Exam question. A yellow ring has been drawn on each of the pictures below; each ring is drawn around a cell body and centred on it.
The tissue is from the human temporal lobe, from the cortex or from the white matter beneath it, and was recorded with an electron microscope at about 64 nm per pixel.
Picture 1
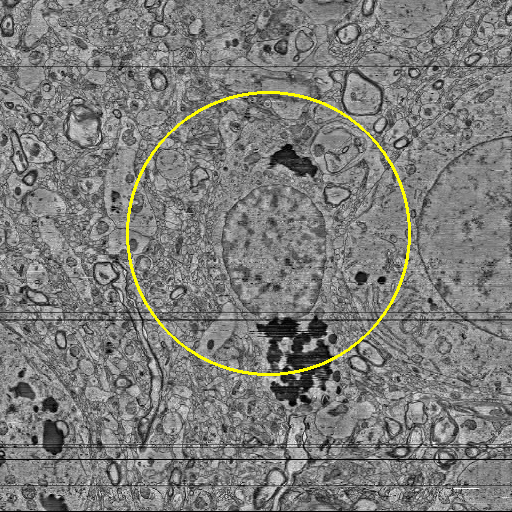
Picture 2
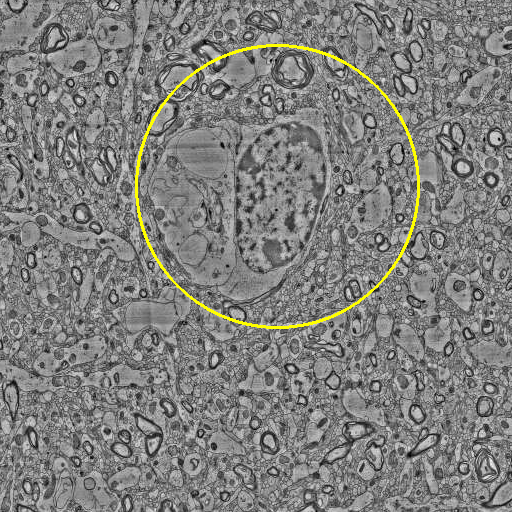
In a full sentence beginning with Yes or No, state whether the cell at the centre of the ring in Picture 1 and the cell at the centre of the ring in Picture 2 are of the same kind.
No, the cells are of two kinds.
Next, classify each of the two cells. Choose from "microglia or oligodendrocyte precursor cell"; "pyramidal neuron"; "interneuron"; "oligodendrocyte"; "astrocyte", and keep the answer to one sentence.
In the first picture it is an oligodendrocyte; in the second it is a microglial cell or oligodendrocyte precursor cell.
